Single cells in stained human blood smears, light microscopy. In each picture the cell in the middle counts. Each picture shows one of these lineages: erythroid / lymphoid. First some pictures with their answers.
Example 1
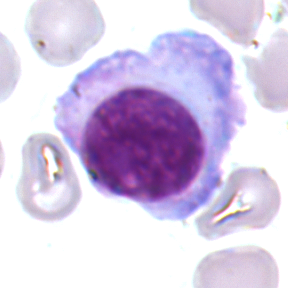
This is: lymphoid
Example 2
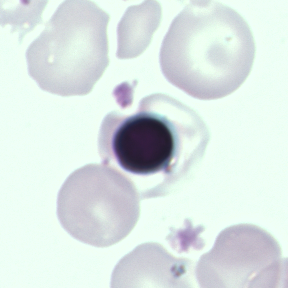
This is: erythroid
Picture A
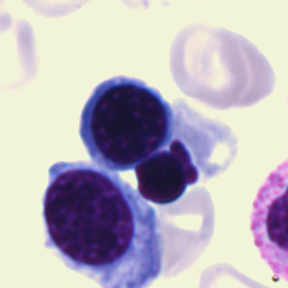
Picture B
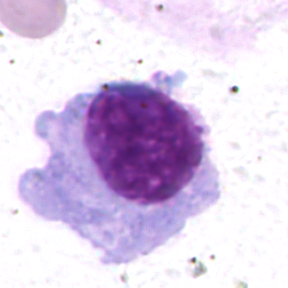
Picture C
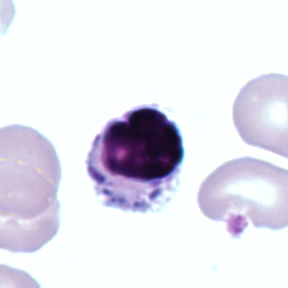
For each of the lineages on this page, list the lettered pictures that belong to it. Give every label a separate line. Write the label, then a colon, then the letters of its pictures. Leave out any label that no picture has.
erythroid: A, C
lymphoid: B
